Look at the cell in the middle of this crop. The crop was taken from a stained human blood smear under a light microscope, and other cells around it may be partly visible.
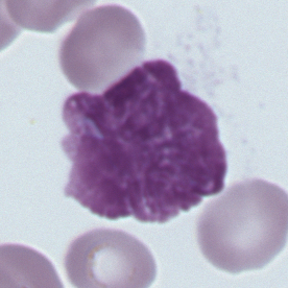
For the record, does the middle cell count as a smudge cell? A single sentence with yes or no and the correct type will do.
Yes, the central cell here is a smudge cell.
